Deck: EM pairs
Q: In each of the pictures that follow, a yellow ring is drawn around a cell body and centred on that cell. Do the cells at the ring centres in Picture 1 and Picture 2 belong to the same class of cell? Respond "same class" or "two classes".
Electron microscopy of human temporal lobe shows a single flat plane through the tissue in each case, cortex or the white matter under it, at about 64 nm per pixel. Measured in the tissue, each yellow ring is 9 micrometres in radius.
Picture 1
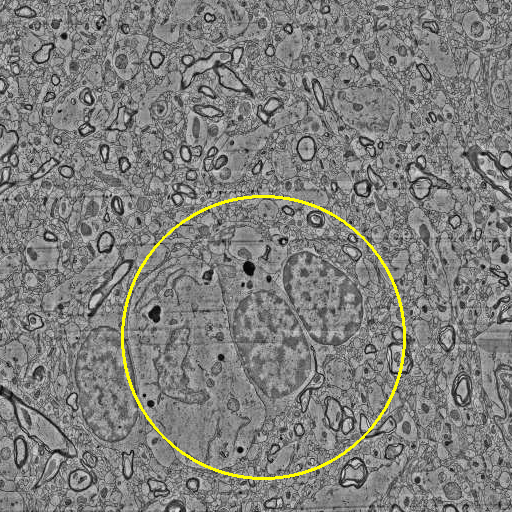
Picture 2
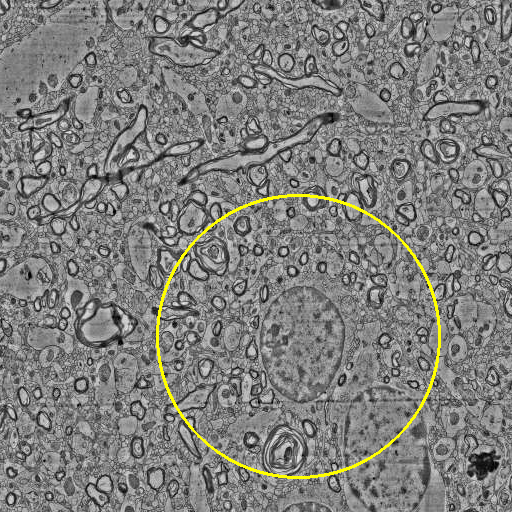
same class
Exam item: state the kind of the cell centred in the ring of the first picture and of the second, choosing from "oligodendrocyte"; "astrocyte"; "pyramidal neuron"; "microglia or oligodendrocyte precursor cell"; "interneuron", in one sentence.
Each cell, in the first picture and the second, is an oligodendrocyte.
